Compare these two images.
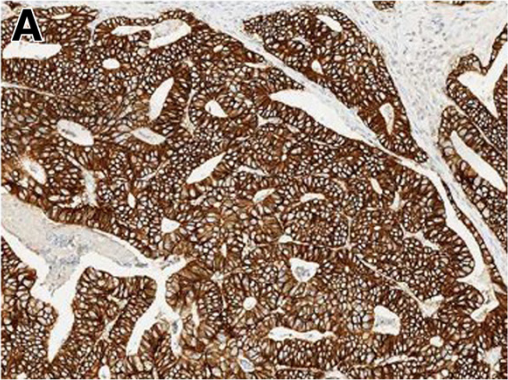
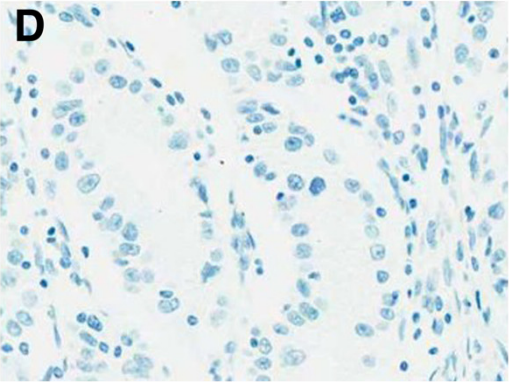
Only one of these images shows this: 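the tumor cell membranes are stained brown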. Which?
The first image.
